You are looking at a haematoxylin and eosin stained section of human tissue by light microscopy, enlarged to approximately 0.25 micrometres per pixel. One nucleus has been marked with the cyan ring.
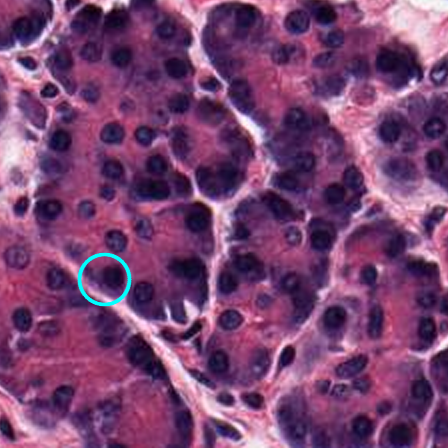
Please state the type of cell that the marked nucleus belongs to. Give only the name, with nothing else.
pancreatic acinar cell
